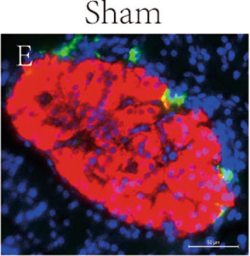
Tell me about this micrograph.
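A pancreatic islet appears as a large, rounded cluster of endocrine cells set within the surrounding exocrine tissue. Most of the islet is filled with cells whose cytoplasm glows bright red, packed closely together in cords, with round blue nuclei spread evenly among them. A few small green-stained cells lie at the very edge of the islet, forming a thin, broken rim.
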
